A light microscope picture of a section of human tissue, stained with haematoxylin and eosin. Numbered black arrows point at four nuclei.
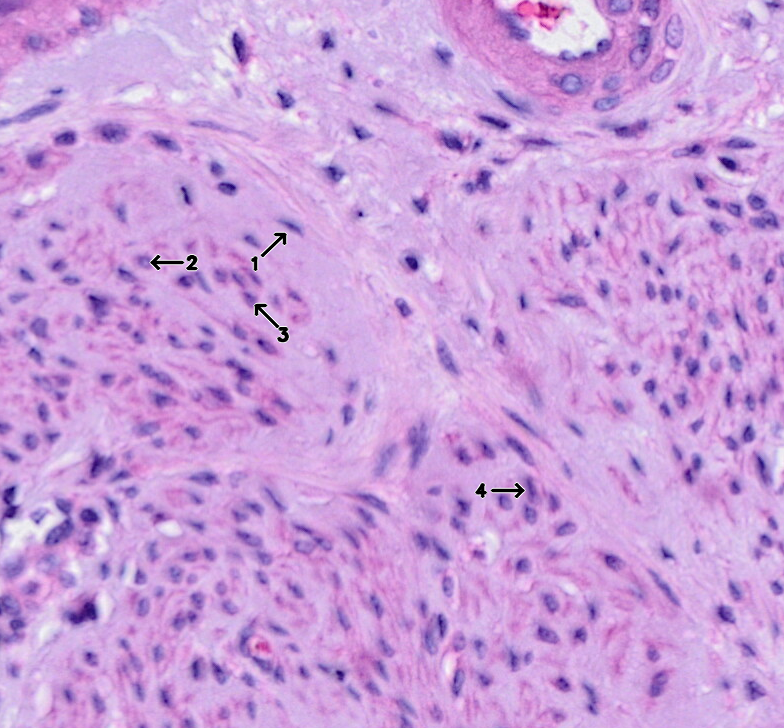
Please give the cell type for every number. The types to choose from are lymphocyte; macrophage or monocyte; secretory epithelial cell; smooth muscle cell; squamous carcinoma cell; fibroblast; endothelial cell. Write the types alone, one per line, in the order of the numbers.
fibroblast
smooth muscle cell
smooth muscle cell
smooth muscle cell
